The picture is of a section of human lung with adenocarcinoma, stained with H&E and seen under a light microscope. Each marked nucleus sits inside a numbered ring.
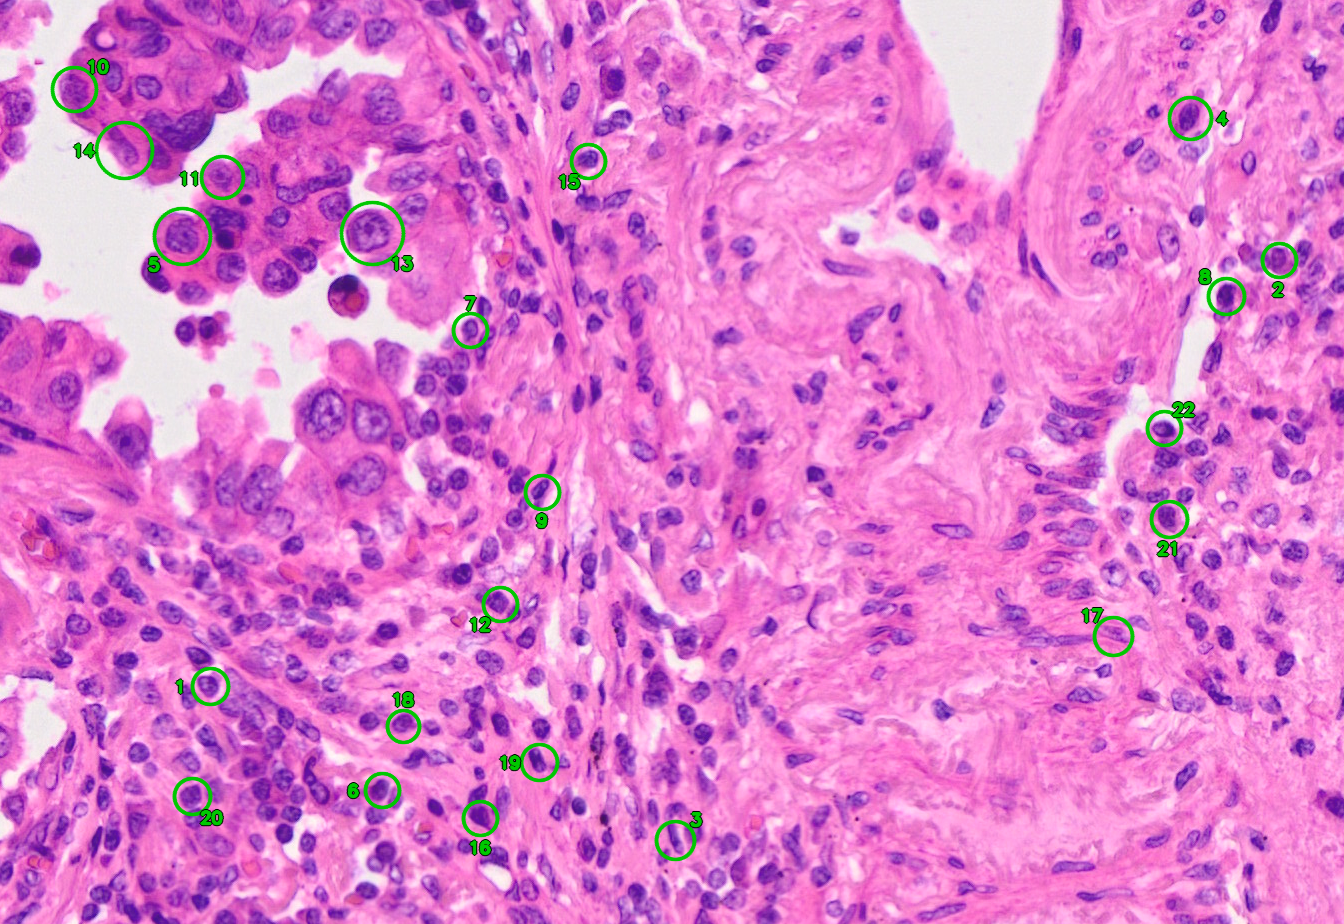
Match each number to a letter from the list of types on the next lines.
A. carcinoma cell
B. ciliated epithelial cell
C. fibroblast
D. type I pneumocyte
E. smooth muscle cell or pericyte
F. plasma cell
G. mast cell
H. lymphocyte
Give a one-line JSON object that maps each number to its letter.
{"1": "H", "2": "F", "3": "H", "4": "F", "5": "A", "6": "F", "7": "H", "8": "F", "9": "H", "10": "A", "11": "A", "12": "H", "13": "A", "14": "A", "15": "H", "16": "F", "17": "E", "18": "F", "19": "H", "20": "H", "21": "F", "22": "H"}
